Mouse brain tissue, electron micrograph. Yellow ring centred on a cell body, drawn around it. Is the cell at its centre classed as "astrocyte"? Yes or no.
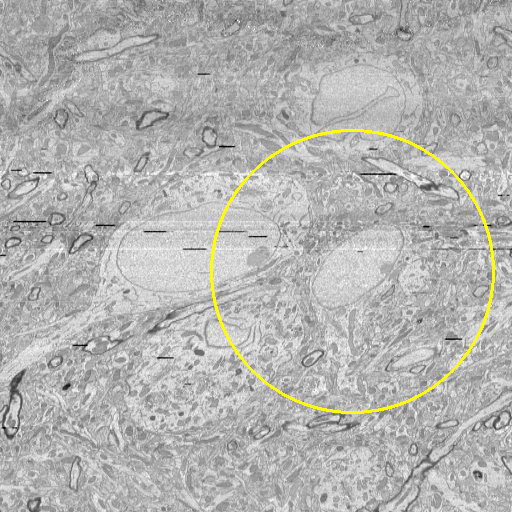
Yes, it is classed as that.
